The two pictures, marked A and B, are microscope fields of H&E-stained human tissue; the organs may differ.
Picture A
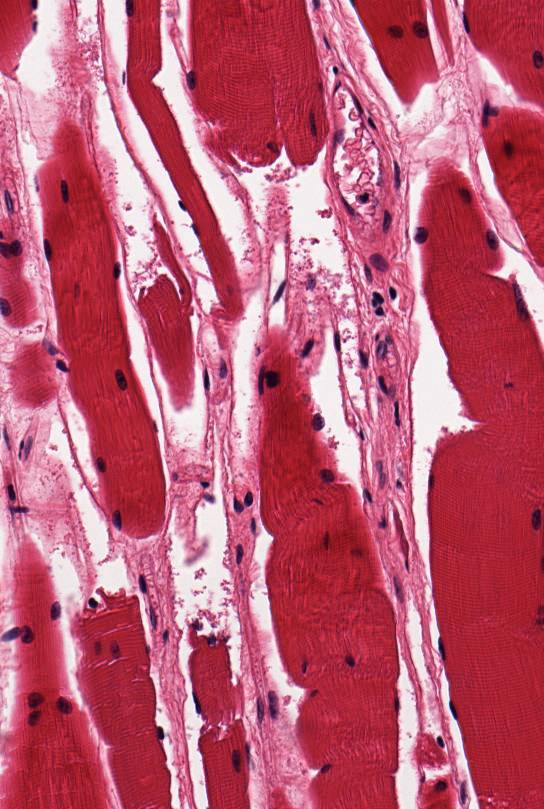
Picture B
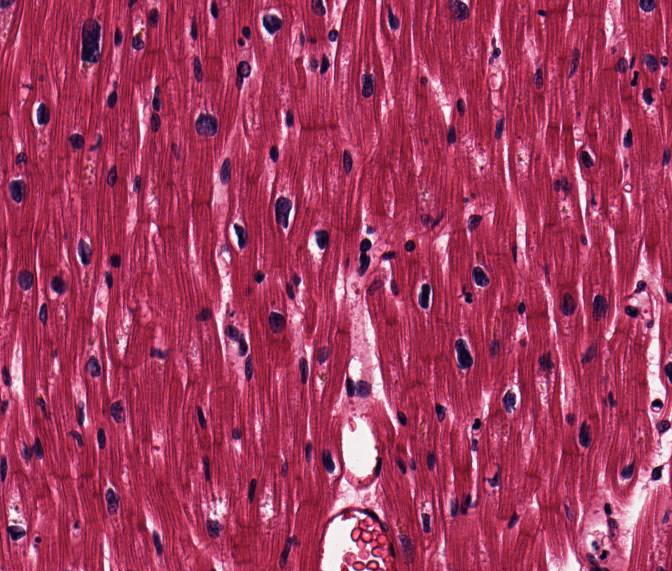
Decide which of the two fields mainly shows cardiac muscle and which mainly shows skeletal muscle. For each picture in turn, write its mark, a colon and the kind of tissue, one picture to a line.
A: skeletal muscle
B: cardiac muscle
